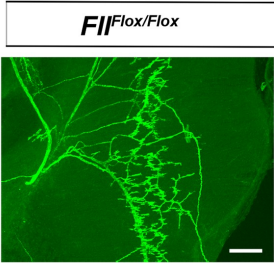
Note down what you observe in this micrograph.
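Thick nerve bundles enter from the left side and split into progressively finer branches. These branches run toward a narrow band that extends vertically through the middle of the muscle. Along this band, many small, bright green clusters sit at the ends of short twigs and form a dense, comb-like row of nerve terminals. The surrounding muscle shows only a faint, even green background.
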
